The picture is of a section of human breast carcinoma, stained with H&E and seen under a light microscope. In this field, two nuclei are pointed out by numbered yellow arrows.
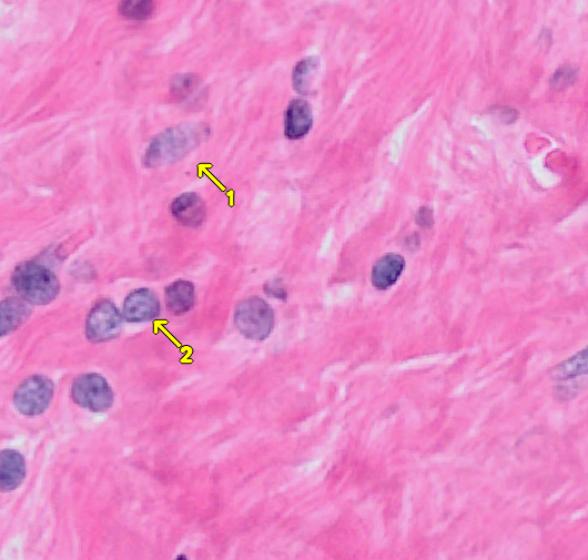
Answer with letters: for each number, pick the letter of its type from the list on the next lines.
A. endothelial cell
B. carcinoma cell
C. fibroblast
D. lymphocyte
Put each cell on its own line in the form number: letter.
1: C
2: B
